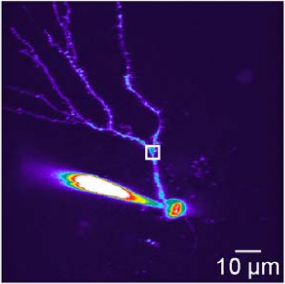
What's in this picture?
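A single main dendrite rises from the cell body and divides into several long, thin branches bearing small spines along their length. A white box marks the main dendrite below its first branch point.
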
